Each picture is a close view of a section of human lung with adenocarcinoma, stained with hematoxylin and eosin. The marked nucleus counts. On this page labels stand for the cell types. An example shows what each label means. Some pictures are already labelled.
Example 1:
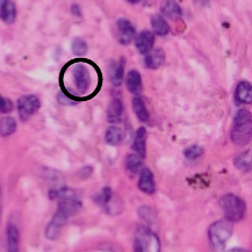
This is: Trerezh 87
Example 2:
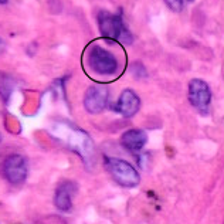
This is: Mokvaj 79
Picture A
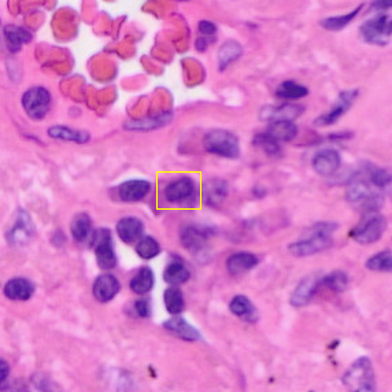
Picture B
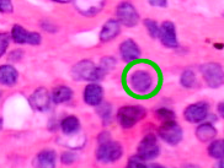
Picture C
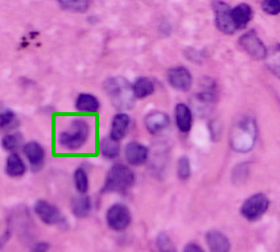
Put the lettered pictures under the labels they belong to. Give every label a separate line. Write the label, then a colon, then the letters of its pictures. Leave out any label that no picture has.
Trerezh 87: B, C
Mokvaj 79: A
